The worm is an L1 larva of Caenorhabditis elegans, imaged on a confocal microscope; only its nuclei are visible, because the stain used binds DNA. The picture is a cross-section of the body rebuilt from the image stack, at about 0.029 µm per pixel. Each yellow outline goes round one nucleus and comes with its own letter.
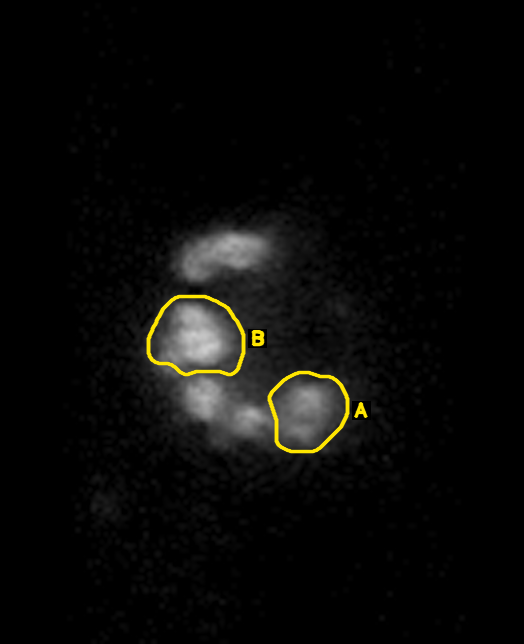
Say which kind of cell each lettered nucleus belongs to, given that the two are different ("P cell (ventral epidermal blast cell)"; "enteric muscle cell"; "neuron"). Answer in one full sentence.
A is in a P cell (ventral epidermal blast cell) and B is in an enteric muscle cell.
